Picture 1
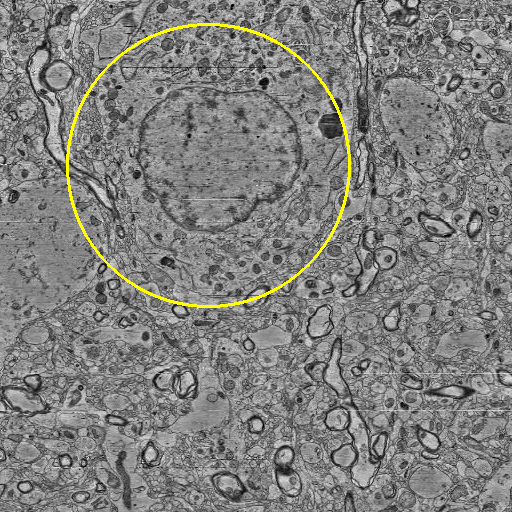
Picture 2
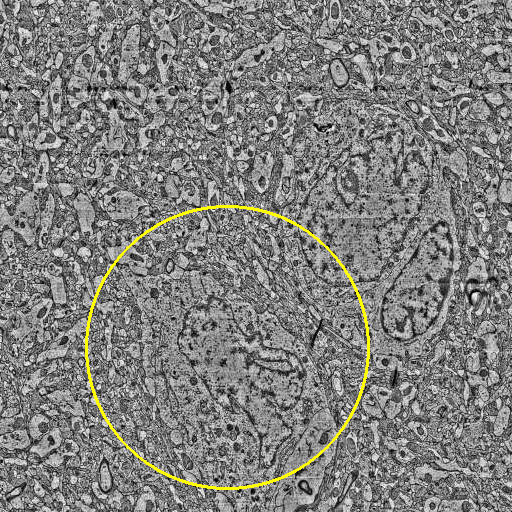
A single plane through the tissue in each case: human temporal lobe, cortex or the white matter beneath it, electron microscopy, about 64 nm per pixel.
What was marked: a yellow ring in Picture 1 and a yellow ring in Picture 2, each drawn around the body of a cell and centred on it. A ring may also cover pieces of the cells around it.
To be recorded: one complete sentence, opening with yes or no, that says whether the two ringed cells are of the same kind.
Yes, the two ringed cells are of the same kind.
